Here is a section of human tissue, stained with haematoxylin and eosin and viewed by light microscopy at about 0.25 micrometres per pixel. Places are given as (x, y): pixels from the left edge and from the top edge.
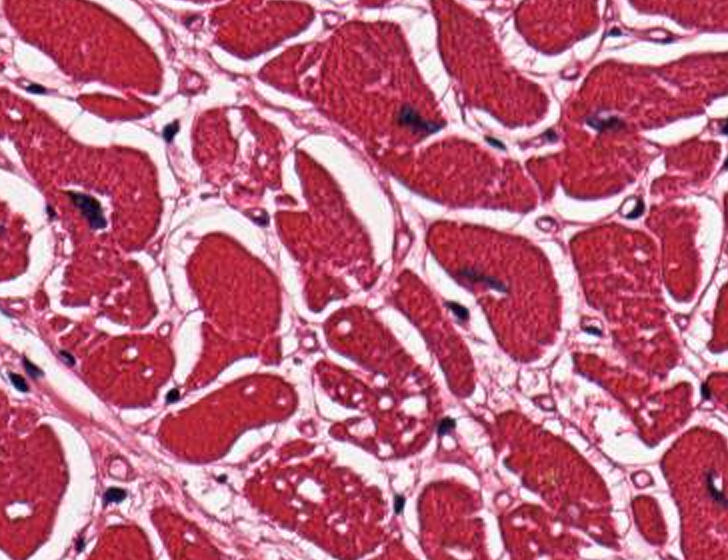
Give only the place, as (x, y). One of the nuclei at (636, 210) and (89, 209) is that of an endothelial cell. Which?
(636, 210)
